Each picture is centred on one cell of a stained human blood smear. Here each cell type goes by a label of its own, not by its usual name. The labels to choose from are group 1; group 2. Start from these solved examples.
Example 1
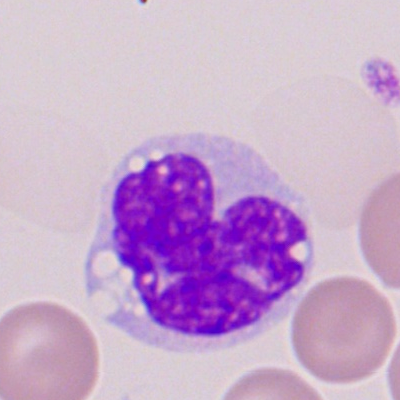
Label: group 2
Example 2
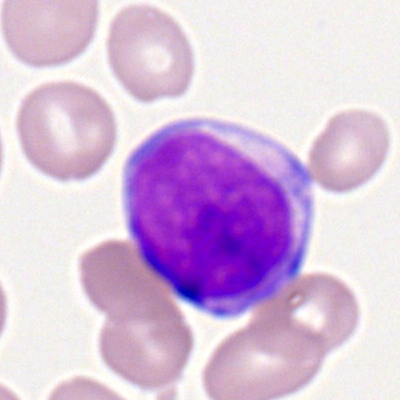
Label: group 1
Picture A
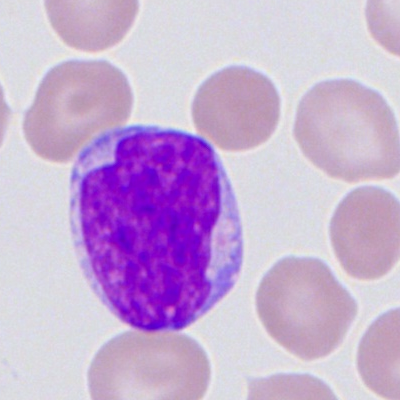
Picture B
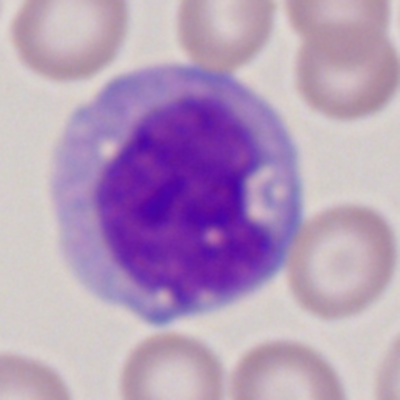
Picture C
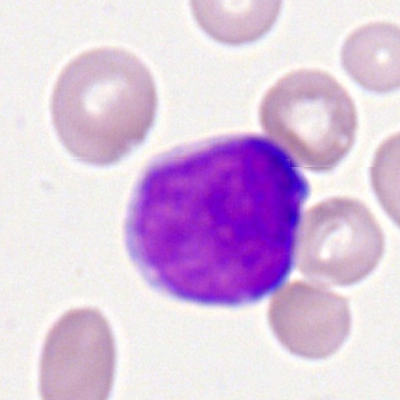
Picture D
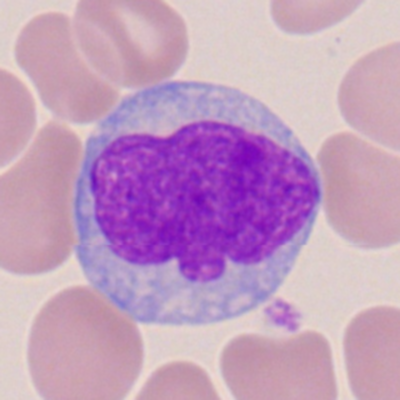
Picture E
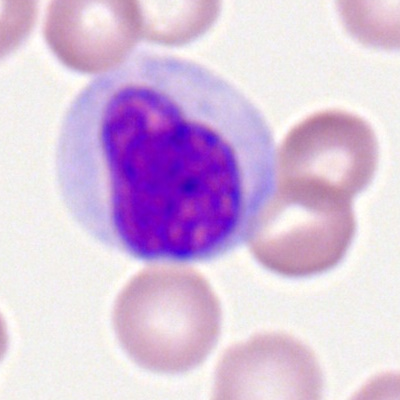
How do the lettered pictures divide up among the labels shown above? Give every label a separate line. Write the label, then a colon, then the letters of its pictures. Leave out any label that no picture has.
group 1: A, C
group 2: B, D, E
